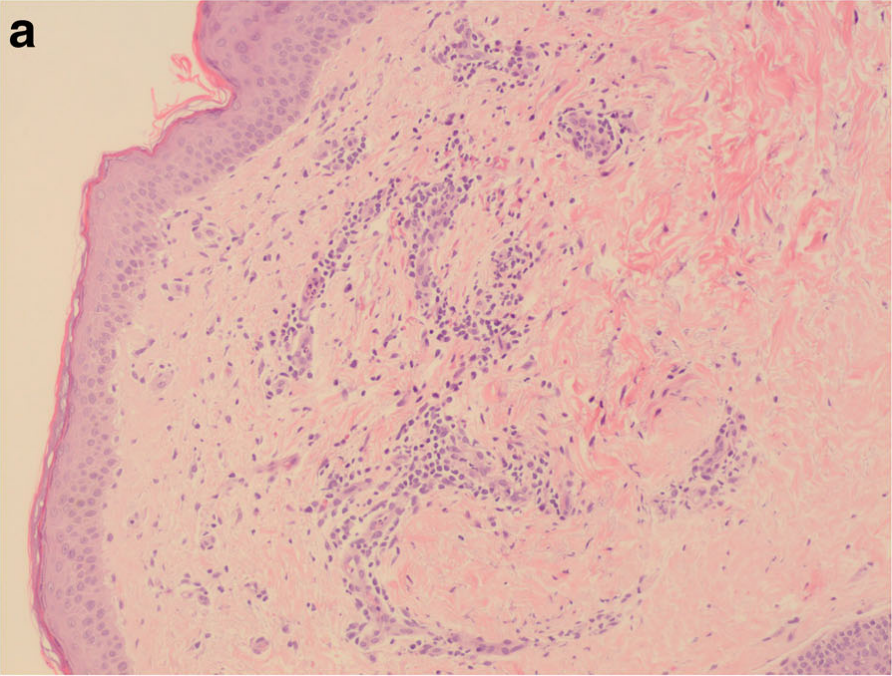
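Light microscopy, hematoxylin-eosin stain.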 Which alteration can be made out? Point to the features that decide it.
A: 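Clusters of small, round, dark-staining nuclei gather around small vessels in the dermis. The clusters lie in the upper and mid dermis beneath the epidermis. The collagen between the clusters is pink and comparatively cell-poor.
Perivascular lymphocyte infiltrate.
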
